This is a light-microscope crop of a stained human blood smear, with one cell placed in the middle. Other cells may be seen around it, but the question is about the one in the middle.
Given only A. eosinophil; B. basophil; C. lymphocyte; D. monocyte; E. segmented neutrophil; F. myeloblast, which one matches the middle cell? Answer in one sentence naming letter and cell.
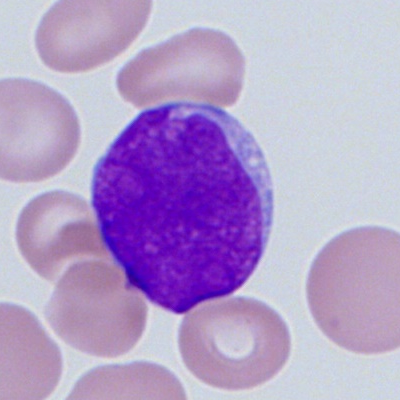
The correct response is option F, naming the cell in the middle as a myeloblast.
